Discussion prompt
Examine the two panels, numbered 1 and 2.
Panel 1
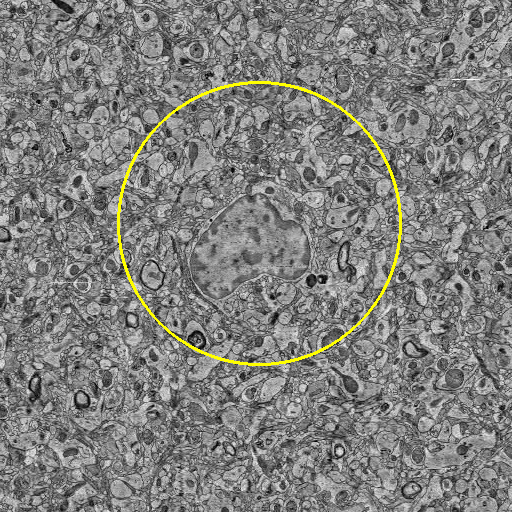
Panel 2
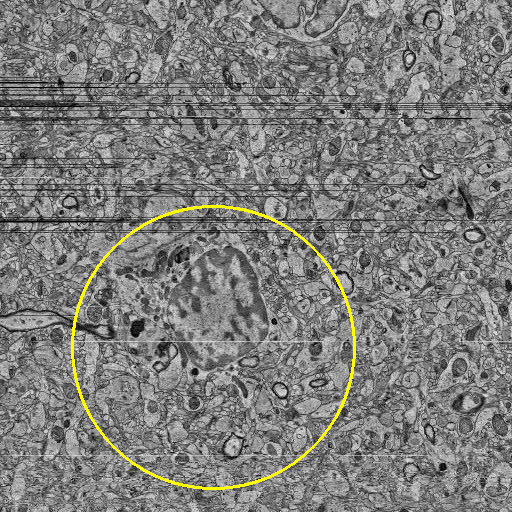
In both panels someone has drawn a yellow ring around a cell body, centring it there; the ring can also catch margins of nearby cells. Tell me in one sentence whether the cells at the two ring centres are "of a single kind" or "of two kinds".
Taken together, the two cells centred in the rings of Panels 1 and 2 are of a single kind.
